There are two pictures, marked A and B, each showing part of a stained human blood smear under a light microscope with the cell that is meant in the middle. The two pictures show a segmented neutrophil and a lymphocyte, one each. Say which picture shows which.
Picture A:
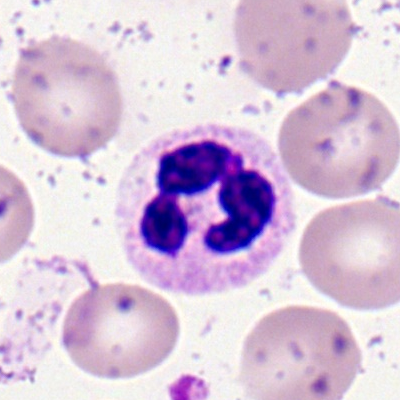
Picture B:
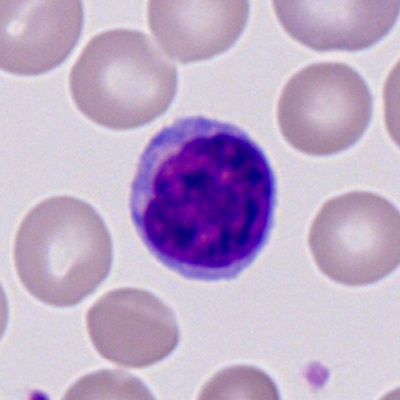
A: segmented neutrophil
B: lymphocyte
